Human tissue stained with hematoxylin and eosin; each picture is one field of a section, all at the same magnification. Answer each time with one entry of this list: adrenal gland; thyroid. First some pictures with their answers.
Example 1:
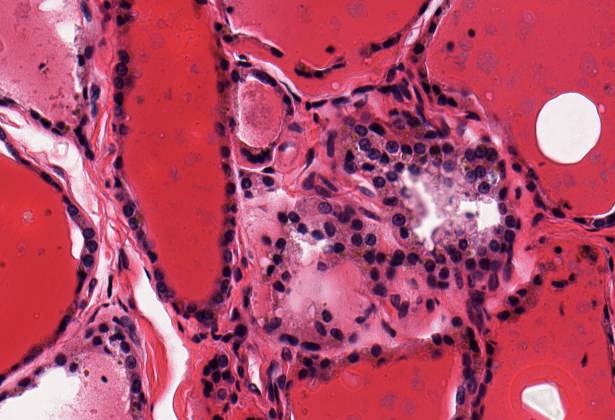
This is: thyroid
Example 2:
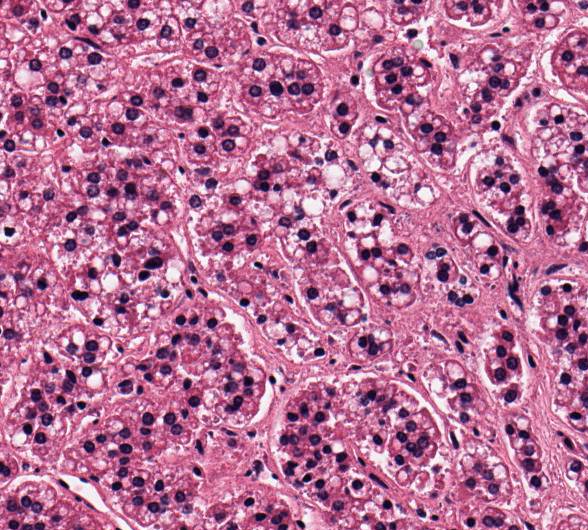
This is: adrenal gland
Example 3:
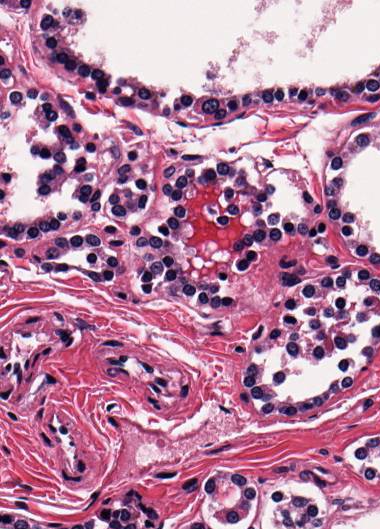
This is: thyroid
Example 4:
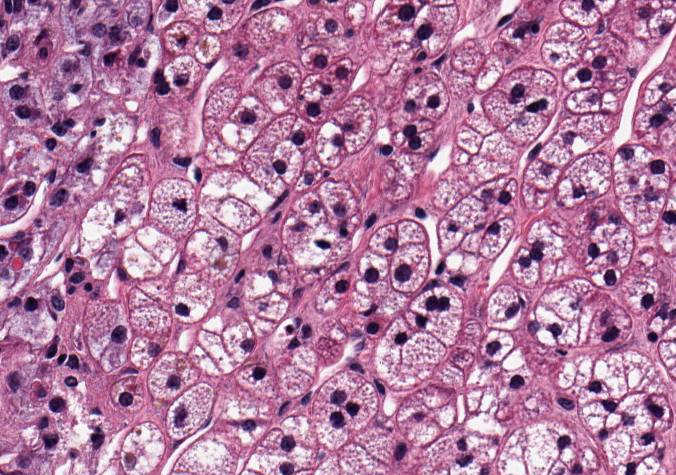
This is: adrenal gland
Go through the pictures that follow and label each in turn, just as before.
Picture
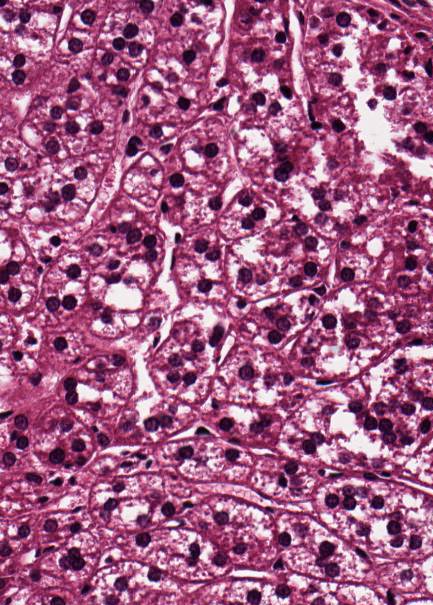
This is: adrenal gland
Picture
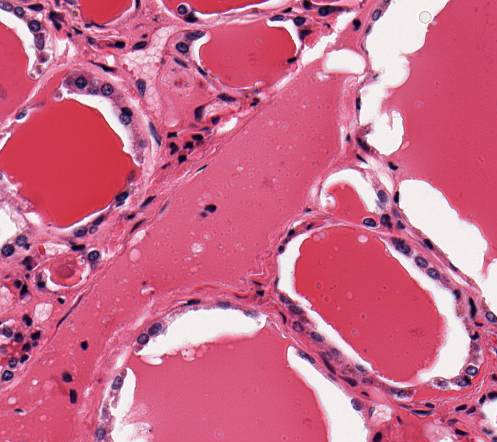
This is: thyroid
